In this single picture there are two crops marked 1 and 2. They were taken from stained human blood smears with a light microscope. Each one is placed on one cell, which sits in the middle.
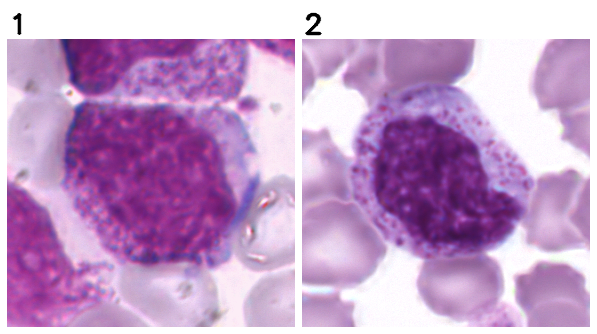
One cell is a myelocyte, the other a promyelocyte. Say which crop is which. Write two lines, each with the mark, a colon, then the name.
1: promyelocyte
2: myelocyte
